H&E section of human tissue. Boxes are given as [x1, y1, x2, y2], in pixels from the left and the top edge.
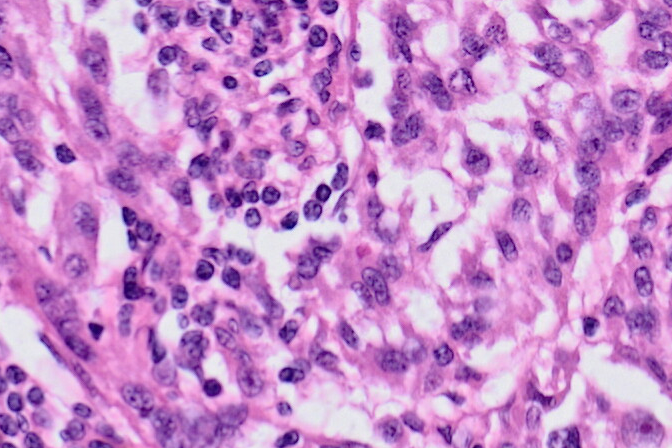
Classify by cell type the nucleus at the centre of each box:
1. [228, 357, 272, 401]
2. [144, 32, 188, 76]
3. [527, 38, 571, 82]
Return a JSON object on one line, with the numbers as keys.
{"1": "melanoma cell", "2": "lymphocyte", "3": "melanoma cell"}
